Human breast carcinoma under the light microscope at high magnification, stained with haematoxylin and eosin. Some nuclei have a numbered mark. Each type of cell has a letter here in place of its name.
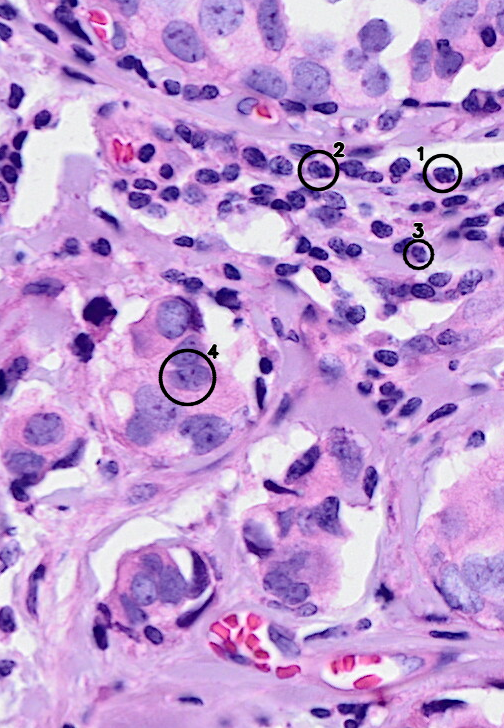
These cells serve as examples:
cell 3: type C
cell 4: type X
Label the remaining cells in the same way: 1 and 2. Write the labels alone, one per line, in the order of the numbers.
type C
type C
